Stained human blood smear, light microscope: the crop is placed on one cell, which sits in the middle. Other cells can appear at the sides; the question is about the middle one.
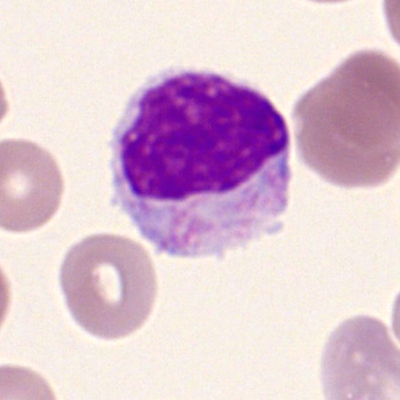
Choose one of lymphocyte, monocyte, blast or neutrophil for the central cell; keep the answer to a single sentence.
The middle of this crop is occupied by a lymphocyte.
